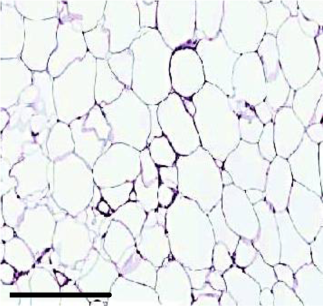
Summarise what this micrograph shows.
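White adipose tissue in which the adipocytes are enlarged, each a large clear space bounded by a thin purple rim. The cells are fewer per field and vary considerably in size, with some much larger than their neighbours, in keeping with hypertrophy.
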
